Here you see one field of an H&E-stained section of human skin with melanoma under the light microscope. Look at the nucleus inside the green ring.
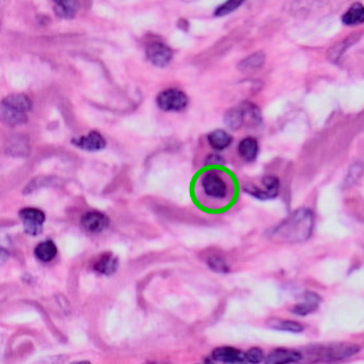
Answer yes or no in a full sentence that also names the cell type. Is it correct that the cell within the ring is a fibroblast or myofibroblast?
No, by cell type the cell within the ring is a plasma cell, not a fibroblast or myofibroblast.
